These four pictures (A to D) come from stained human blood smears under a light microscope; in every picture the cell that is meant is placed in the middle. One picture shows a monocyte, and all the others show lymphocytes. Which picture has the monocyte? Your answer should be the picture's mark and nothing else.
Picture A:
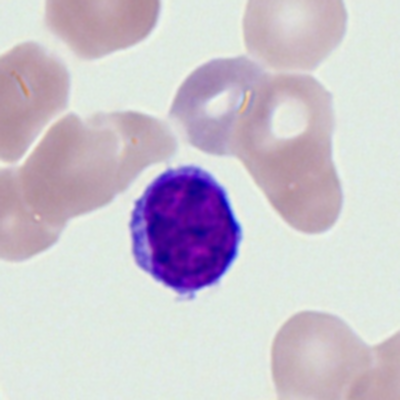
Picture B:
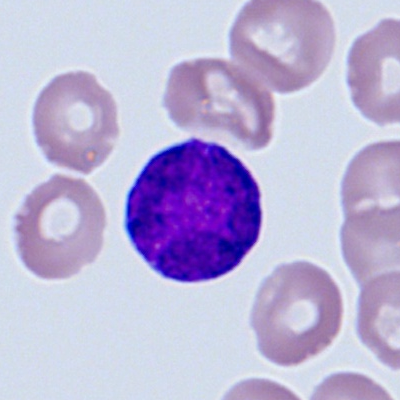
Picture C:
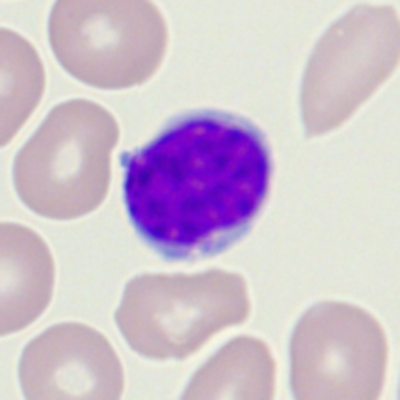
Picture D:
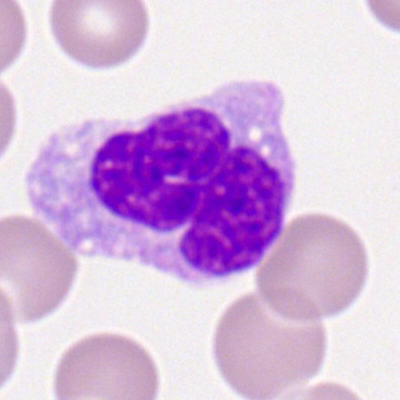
D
